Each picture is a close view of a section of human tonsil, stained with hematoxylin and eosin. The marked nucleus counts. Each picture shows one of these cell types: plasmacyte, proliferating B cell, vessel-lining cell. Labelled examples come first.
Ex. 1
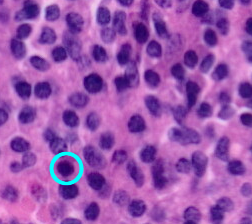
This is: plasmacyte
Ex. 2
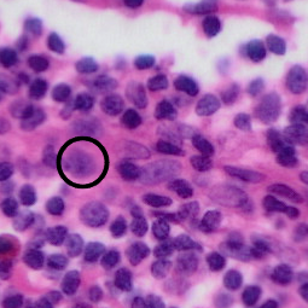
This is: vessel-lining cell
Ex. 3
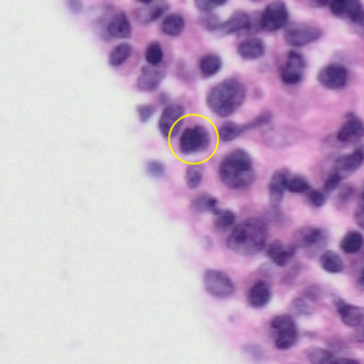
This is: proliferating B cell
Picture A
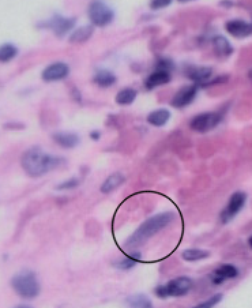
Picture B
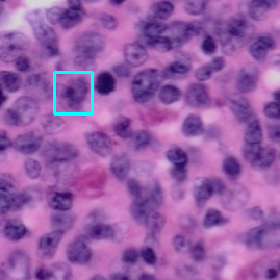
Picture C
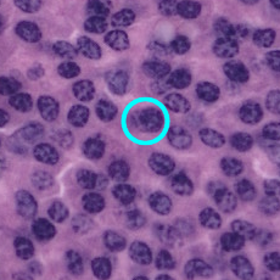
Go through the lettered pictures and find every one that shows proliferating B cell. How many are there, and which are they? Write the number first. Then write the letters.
1: B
